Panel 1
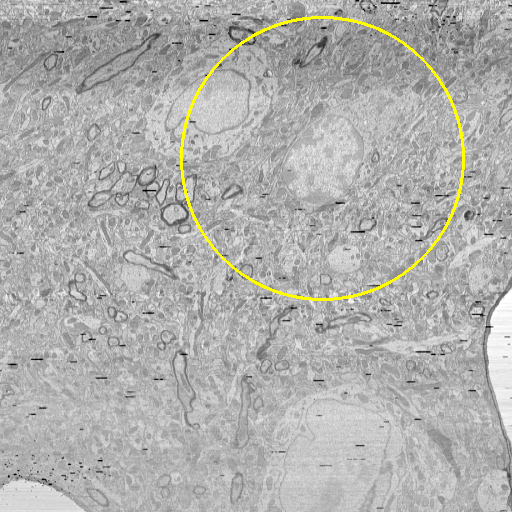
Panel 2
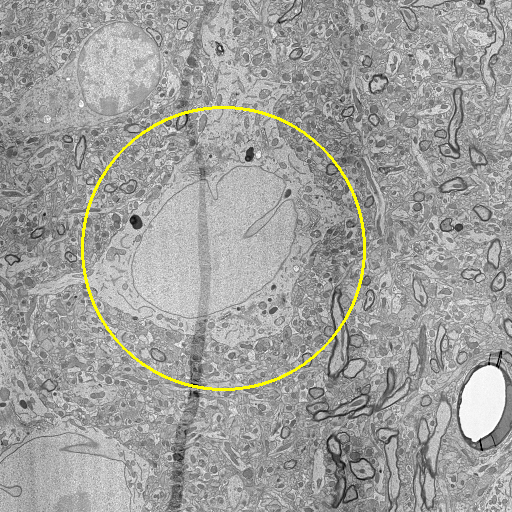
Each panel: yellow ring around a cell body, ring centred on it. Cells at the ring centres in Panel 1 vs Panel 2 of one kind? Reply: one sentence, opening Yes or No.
No, Panel 1 and Panel 2 have cells of two kinds at the ring centres.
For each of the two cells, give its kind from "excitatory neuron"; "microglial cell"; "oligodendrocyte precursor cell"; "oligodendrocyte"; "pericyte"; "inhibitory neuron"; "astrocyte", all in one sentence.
The first picture has an oligodendrocyte in its ring, the second has an excitatory neuron.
